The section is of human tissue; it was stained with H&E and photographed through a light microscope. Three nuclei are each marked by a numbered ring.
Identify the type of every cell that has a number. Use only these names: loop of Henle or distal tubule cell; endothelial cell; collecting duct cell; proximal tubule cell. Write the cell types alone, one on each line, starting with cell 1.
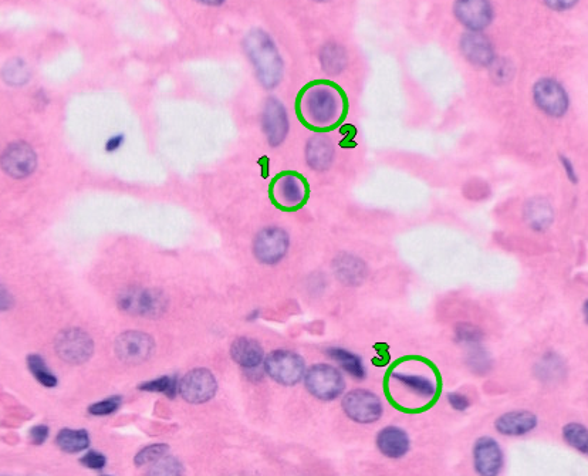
endothelial cell
proximal tubule cell
endothelial cell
